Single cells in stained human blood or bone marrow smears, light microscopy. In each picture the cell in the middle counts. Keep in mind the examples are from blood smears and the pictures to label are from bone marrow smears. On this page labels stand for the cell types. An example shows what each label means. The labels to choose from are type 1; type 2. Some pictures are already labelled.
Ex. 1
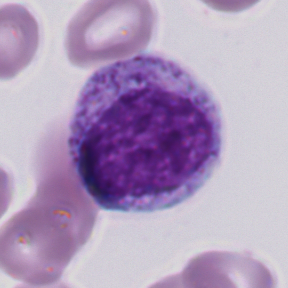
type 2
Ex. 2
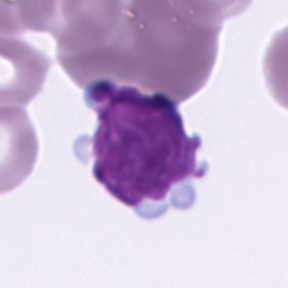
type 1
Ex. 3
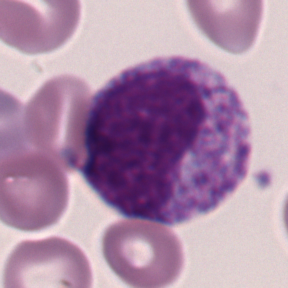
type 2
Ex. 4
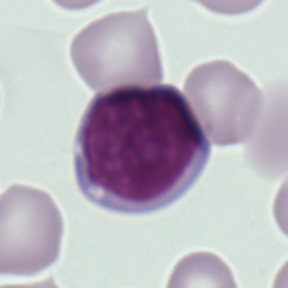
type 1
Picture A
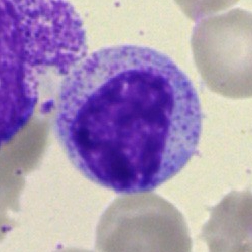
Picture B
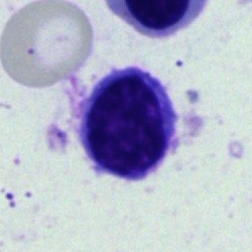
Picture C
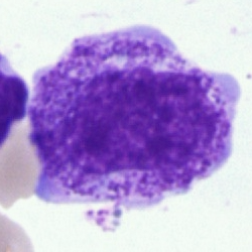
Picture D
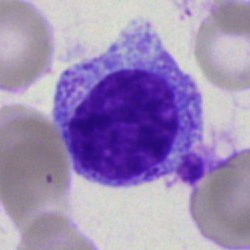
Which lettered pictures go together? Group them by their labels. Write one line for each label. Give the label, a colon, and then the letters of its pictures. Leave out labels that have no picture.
type 1: B
type 2: A, C, D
